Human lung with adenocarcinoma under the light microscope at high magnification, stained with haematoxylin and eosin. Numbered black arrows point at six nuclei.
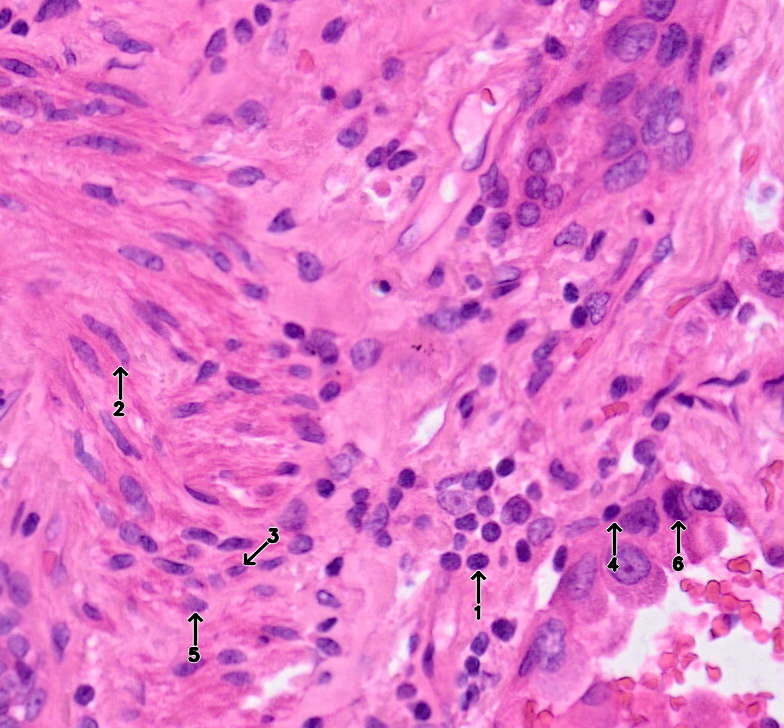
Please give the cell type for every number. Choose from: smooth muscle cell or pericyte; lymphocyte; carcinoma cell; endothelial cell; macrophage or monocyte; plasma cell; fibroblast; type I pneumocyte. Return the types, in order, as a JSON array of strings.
["lymphocyte", "smooth muscle cell or pericyte", "smooth muscle cell or pericyte", "lymphocyte", "smooth muscle cell or pericyte", "carcinoma cell"]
